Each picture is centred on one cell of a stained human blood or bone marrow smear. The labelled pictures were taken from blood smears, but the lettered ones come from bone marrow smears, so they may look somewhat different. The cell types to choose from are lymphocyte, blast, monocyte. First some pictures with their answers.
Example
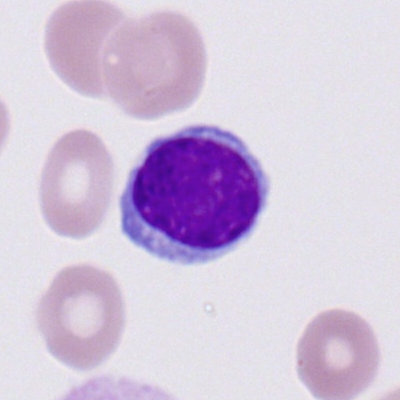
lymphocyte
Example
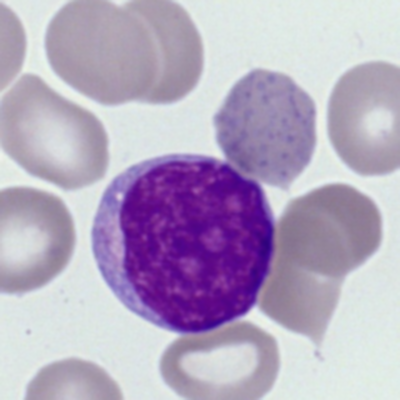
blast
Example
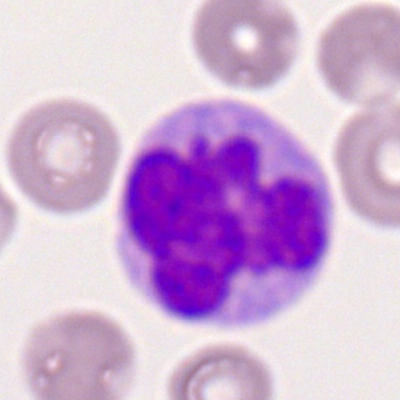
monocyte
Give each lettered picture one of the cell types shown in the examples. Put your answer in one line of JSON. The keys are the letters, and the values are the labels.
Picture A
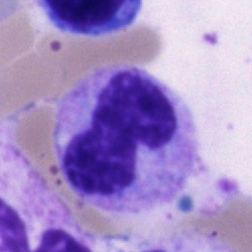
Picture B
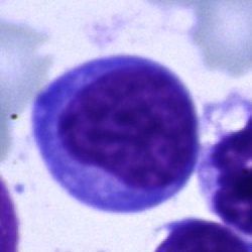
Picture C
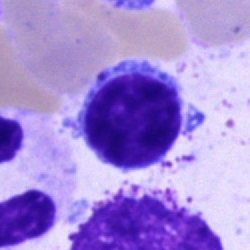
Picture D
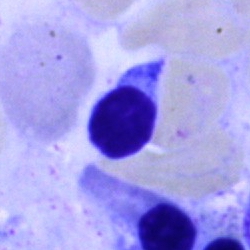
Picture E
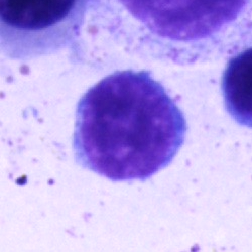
{"A": "monocyte", "B": "blast", "C": "lymphocyte", "D": "lymphocyte", "E": "lymphocyte"}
